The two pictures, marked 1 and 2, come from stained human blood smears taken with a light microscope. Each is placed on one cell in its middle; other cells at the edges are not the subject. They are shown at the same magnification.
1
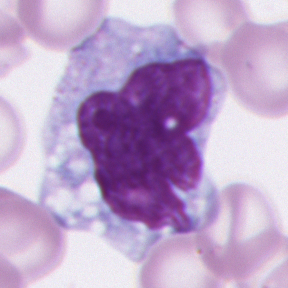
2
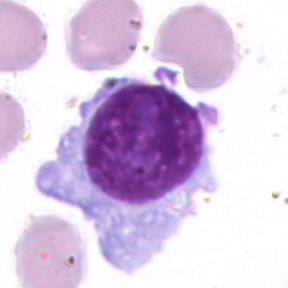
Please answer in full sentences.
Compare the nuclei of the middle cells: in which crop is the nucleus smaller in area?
Smaller is the nucleus in picture 2, and the other is about 1.5 times as large in area.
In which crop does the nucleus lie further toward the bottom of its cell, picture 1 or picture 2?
It is the nucleus in picture 1 that lies further toward the bottom of its cell.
